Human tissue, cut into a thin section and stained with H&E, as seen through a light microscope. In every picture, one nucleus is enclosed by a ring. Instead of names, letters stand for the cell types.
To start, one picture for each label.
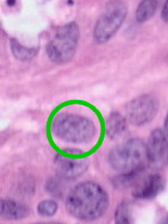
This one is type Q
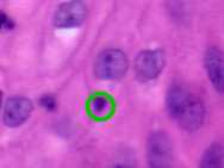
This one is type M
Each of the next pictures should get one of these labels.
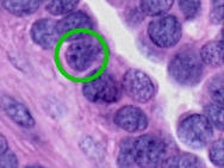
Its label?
type Q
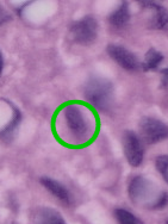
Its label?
type M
